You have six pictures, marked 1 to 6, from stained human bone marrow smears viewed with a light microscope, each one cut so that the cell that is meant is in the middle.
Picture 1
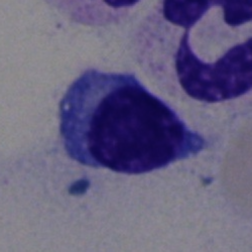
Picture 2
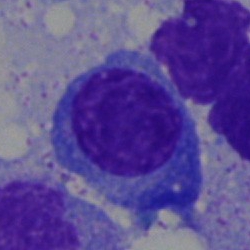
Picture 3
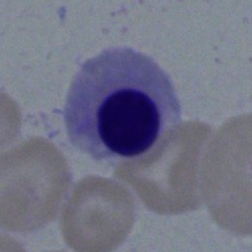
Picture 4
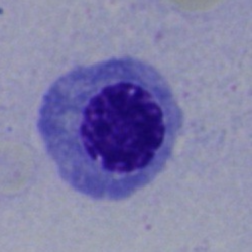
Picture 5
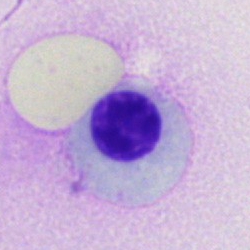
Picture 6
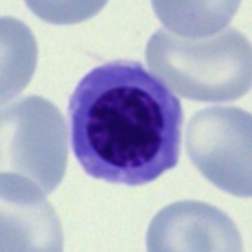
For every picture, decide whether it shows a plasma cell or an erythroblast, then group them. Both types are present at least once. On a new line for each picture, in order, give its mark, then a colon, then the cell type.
1: plasma cell
2: plasma cell
3: erythroblast
4: erythroblast
5: erythroblast
6: erythroblast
